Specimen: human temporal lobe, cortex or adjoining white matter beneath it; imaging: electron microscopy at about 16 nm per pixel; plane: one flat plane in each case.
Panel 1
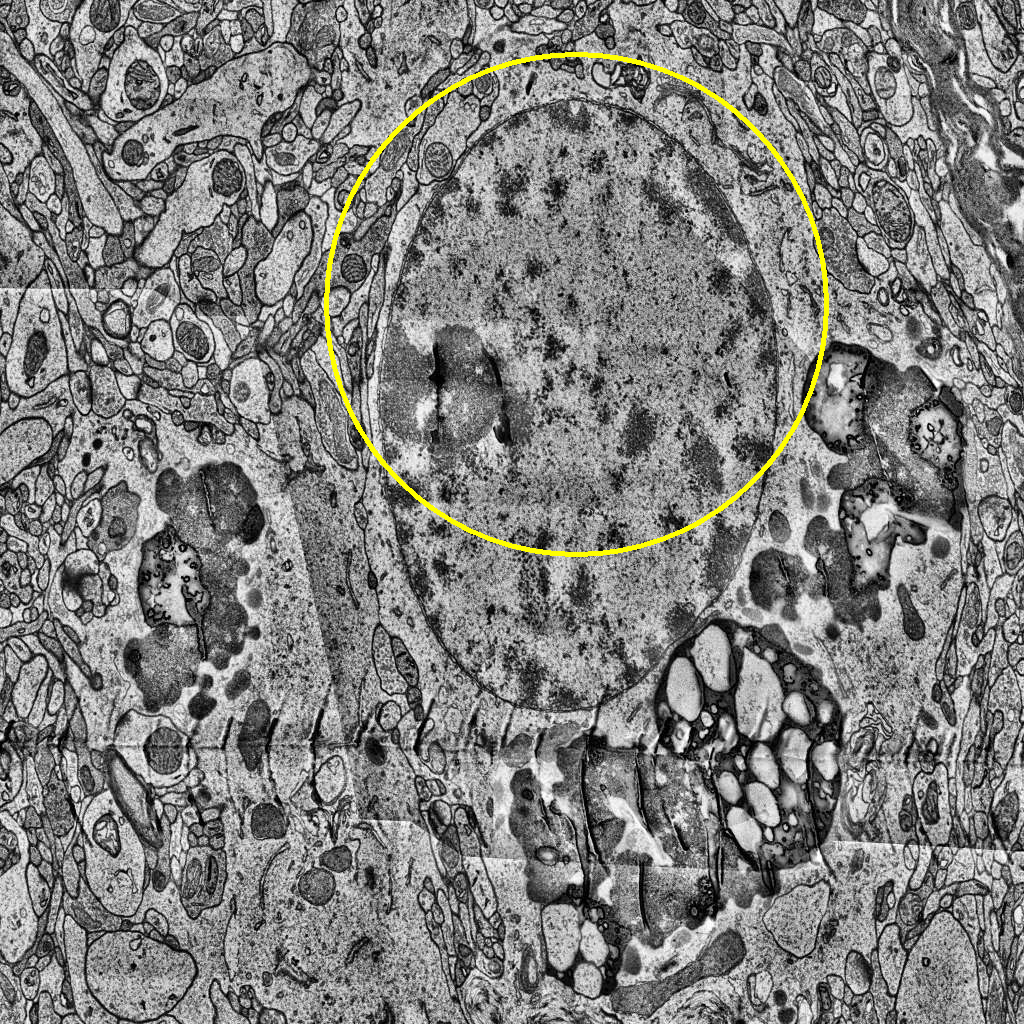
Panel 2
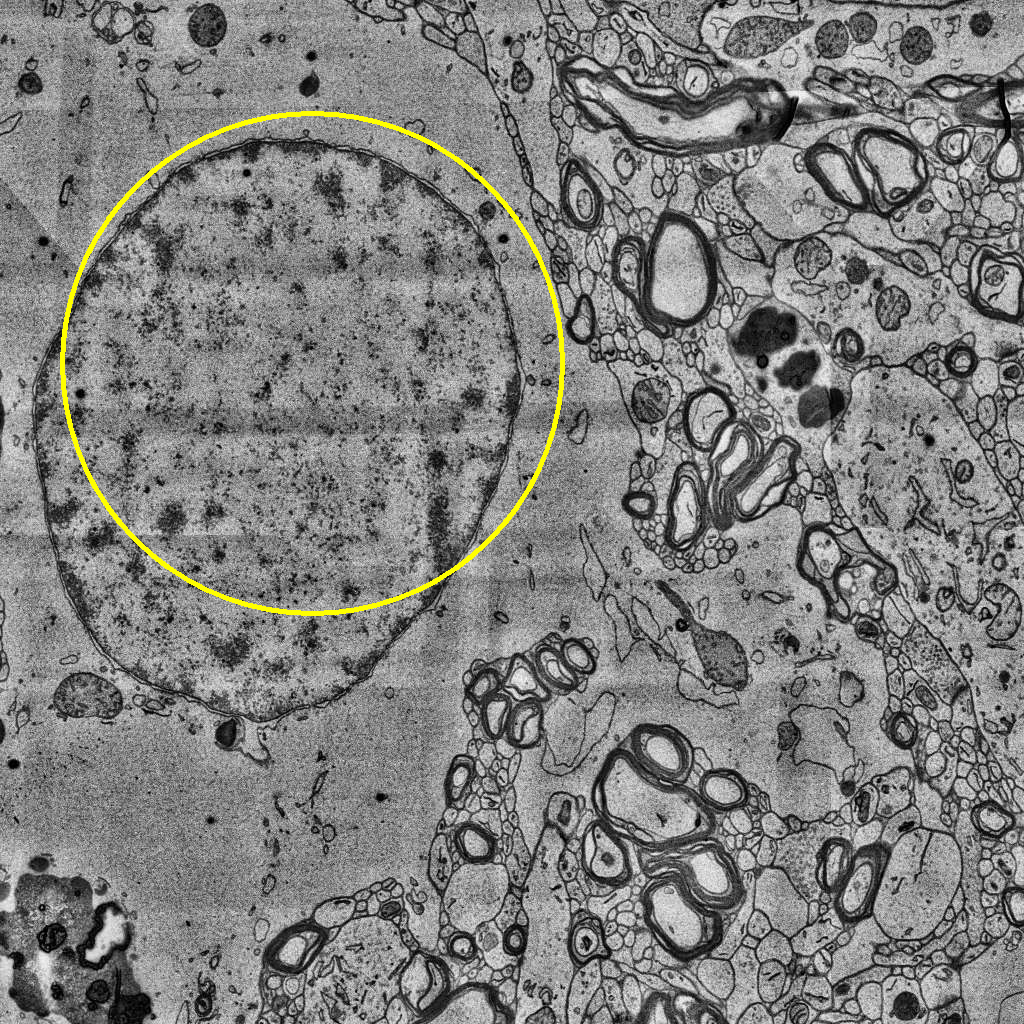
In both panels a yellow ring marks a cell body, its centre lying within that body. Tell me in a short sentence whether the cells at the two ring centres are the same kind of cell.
Yes, they are the same kind of cell.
